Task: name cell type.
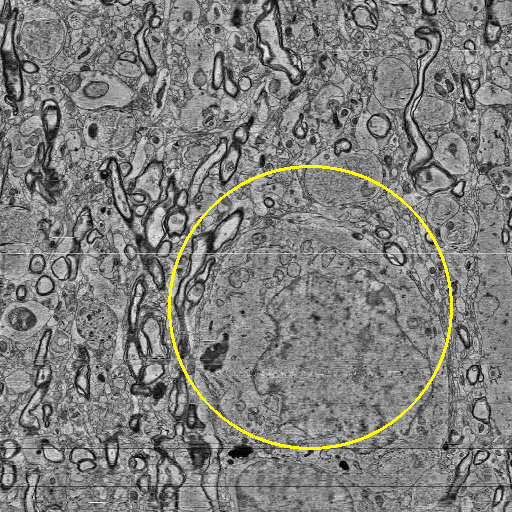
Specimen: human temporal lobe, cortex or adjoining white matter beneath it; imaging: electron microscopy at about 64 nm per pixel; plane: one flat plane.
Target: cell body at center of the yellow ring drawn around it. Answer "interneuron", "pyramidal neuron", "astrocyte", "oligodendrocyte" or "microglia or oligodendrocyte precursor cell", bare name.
interneuron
